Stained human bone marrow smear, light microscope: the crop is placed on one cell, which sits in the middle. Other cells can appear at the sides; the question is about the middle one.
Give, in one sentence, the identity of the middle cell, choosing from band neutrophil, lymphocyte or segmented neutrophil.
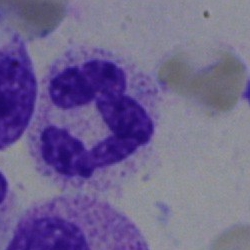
This crop's central cell is a segmented neutrophil.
